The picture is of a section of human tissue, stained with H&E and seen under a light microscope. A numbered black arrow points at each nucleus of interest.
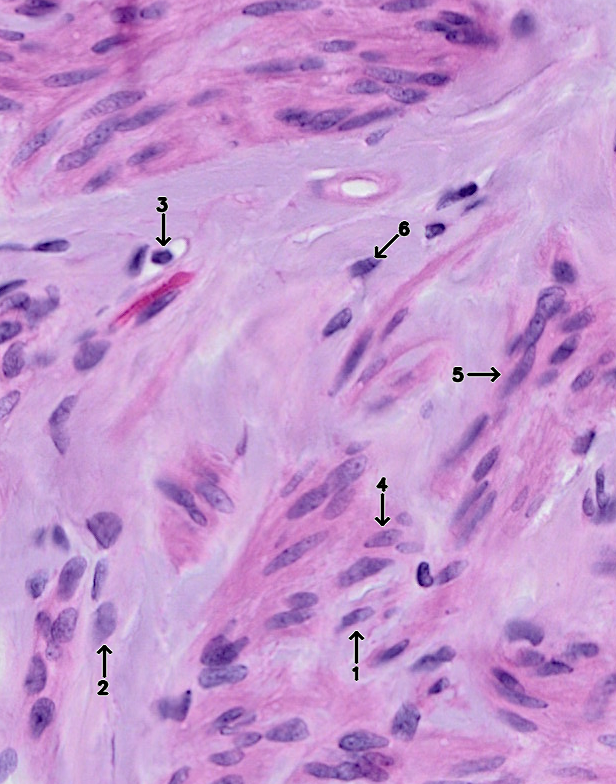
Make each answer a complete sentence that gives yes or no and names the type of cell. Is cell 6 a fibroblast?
Yes, that one, number 6, is a fibroblast.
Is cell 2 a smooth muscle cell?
No, at number 2 sits a fibroblast, not a smooth muscle cell.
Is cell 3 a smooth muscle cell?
No, cell number 3 is a lymphocyte; it is not a smooth muscle cell.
